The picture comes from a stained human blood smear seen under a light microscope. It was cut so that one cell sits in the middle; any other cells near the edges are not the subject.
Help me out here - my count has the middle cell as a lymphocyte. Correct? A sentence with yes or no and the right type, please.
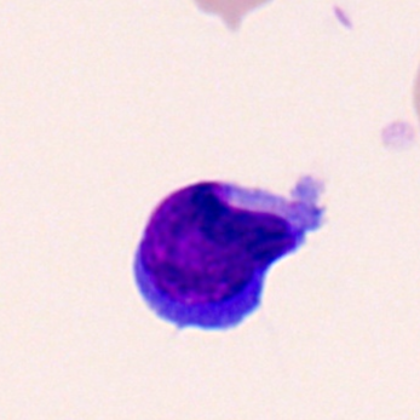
Yes, this central cell is a lymphocyte.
